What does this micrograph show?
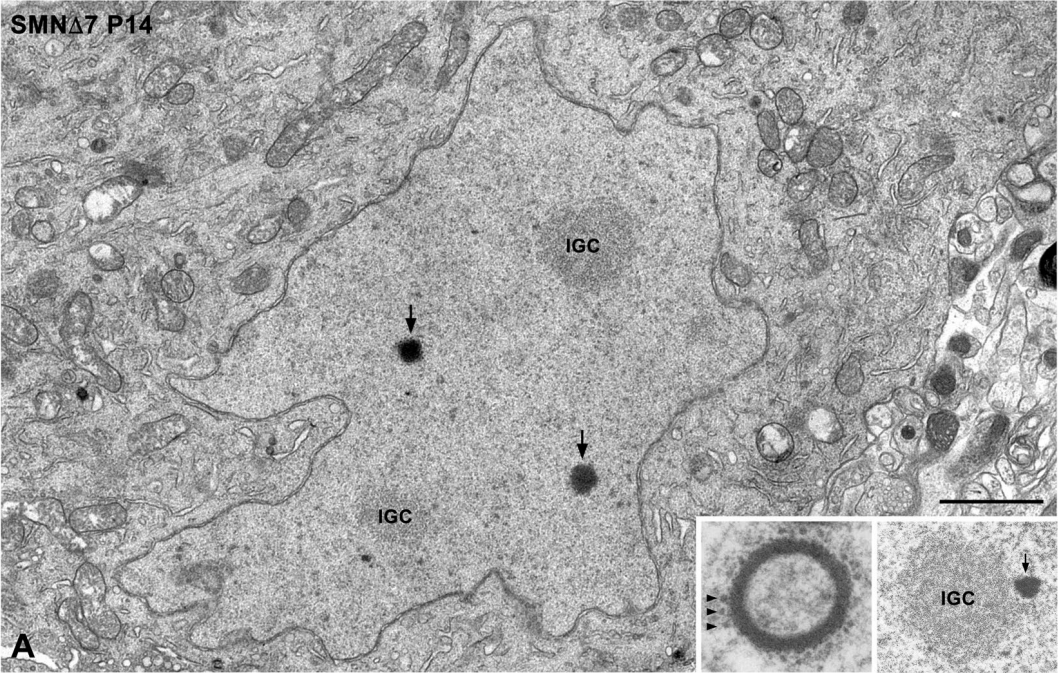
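The nucleus of a neuron fills the centre, surrounded by cytoplasm rich in mitochondria but with few rough endoplasmic reticulum cisterns. The nucleoplasm is finely granular and pale. Two small, very dense round bodies lie free in it, and two larger, paler, round granular clusters are also present. An inset shows one of the dense bodies as a ring with a pale centre, with small dense granules studding its outer rim; another inset shows a granular cluster with a small dense body at its edge.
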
